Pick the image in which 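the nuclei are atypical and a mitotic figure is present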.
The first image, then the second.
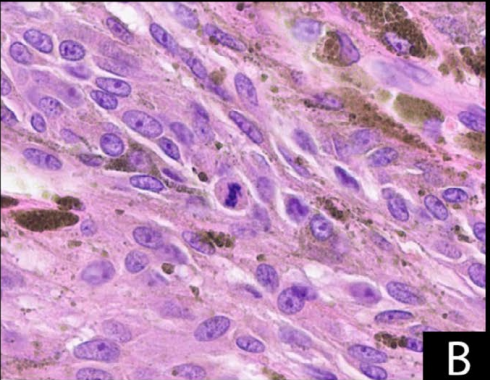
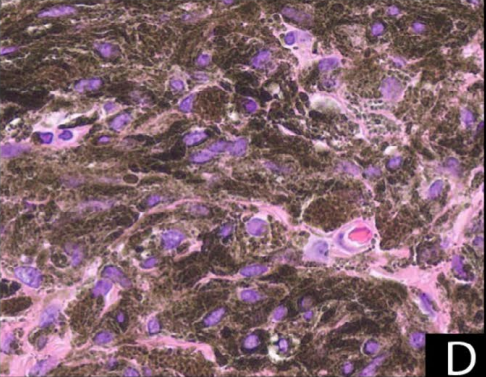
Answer: the first image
